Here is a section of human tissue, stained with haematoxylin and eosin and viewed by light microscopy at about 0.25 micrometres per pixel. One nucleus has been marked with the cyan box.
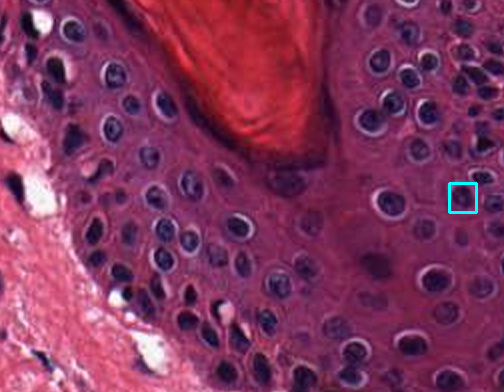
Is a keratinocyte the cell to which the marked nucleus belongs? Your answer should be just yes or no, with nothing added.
yes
